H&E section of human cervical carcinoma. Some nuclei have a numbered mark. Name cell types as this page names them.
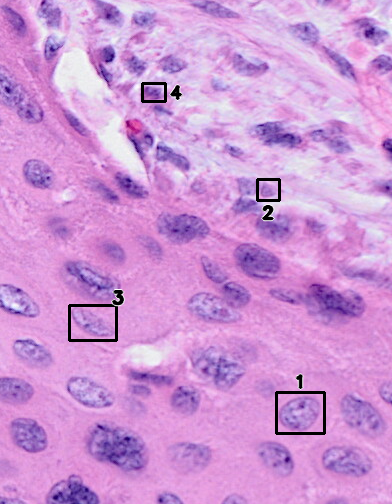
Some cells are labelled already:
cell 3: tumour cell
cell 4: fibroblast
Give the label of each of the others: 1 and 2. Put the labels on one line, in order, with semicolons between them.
tumour cell; fibroblast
